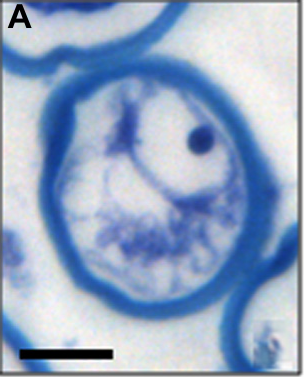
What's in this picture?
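A single rounded cell is enclosed by a thick, deep blue wall; inside, a large clear vacuole fills much of the space, with a small dark round nucleus at its rim and pale blue, loosely strand-like cytoplasm spread around the periphery. This is a vacuolated microspore, the one-celled stage with a big vacuole pushing the nucleus aside.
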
